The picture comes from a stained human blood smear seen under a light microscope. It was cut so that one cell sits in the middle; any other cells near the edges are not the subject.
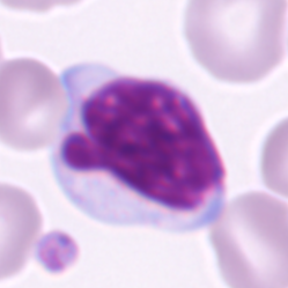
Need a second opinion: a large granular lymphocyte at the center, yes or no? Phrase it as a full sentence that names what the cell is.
Yes, the middle cell in this crop is a large granular lymphocyte.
